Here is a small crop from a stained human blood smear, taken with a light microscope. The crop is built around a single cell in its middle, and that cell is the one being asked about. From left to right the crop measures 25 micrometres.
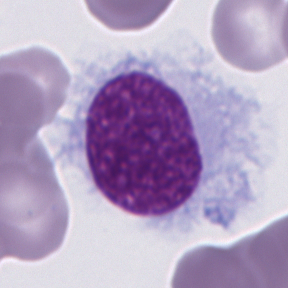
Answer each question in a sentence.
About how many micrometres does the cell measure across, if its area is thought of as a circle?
It measures about 15 micrometres across.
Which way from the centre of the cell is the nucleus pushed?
Toward the left of the cell lies its nucleus.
